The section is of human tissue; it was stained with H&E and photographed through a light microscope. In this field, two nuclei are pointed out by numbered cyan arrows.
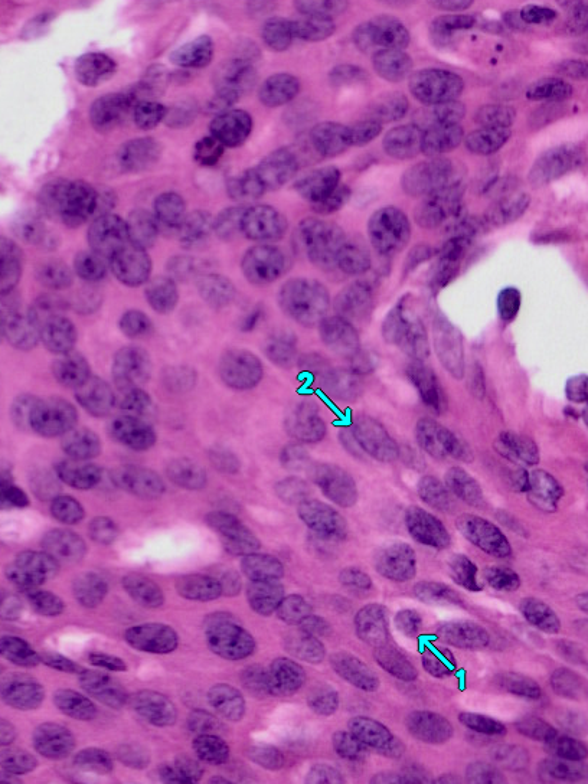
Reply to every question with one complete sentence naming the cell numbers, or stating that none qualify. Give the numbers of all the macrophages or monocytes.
Only nucleus 1 belongs to a macrophage or monocyte; the other numbered nuclei do not.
